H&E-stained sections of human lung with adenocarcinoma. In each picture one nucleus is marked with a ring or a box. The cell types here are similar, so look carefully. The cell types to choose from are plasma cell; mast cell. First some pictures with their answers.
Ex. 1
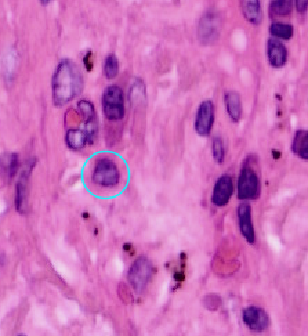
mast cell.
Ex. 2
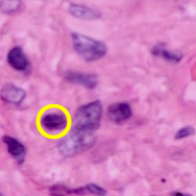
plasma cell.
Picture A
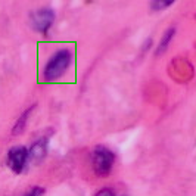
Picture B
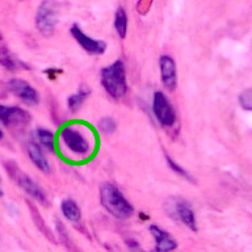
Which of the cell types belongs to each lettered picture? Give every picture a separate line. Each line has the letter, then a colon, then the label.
A: mast cell.
B: plasma cell.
